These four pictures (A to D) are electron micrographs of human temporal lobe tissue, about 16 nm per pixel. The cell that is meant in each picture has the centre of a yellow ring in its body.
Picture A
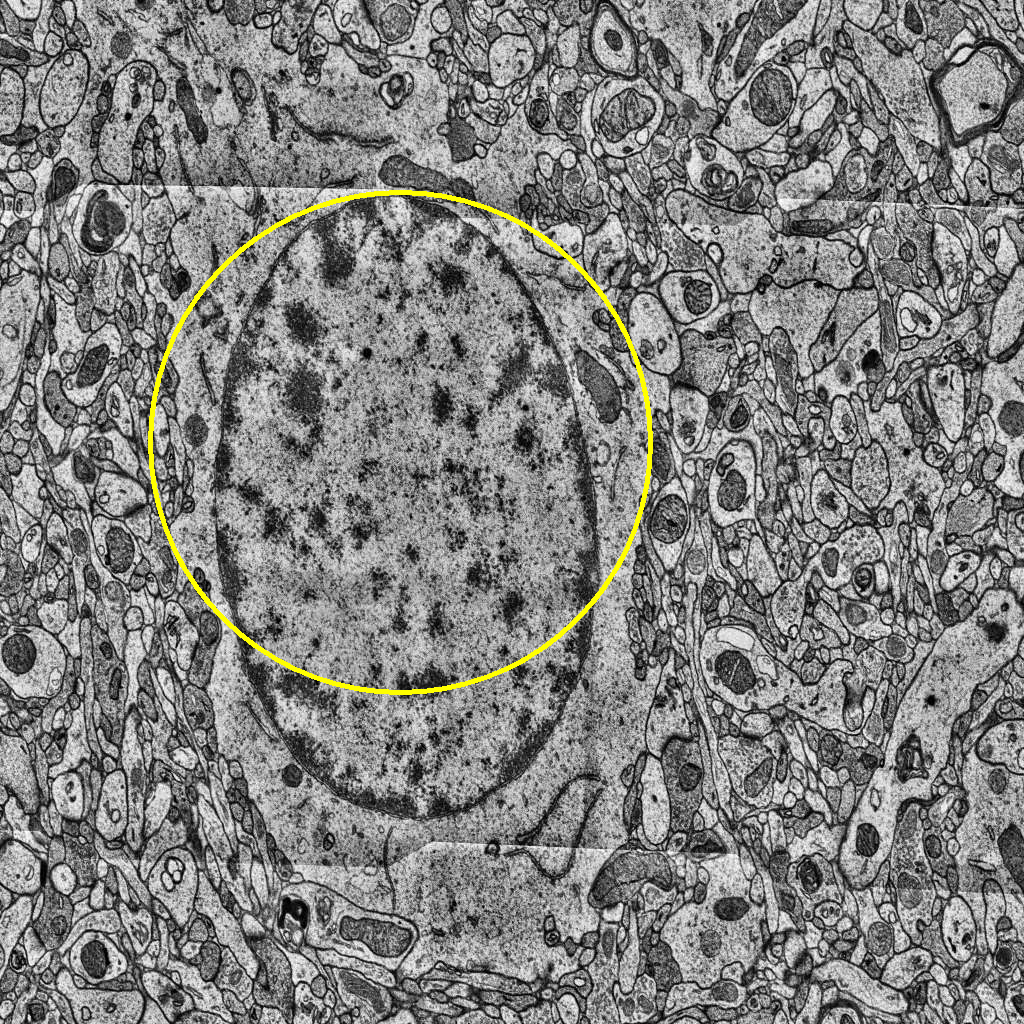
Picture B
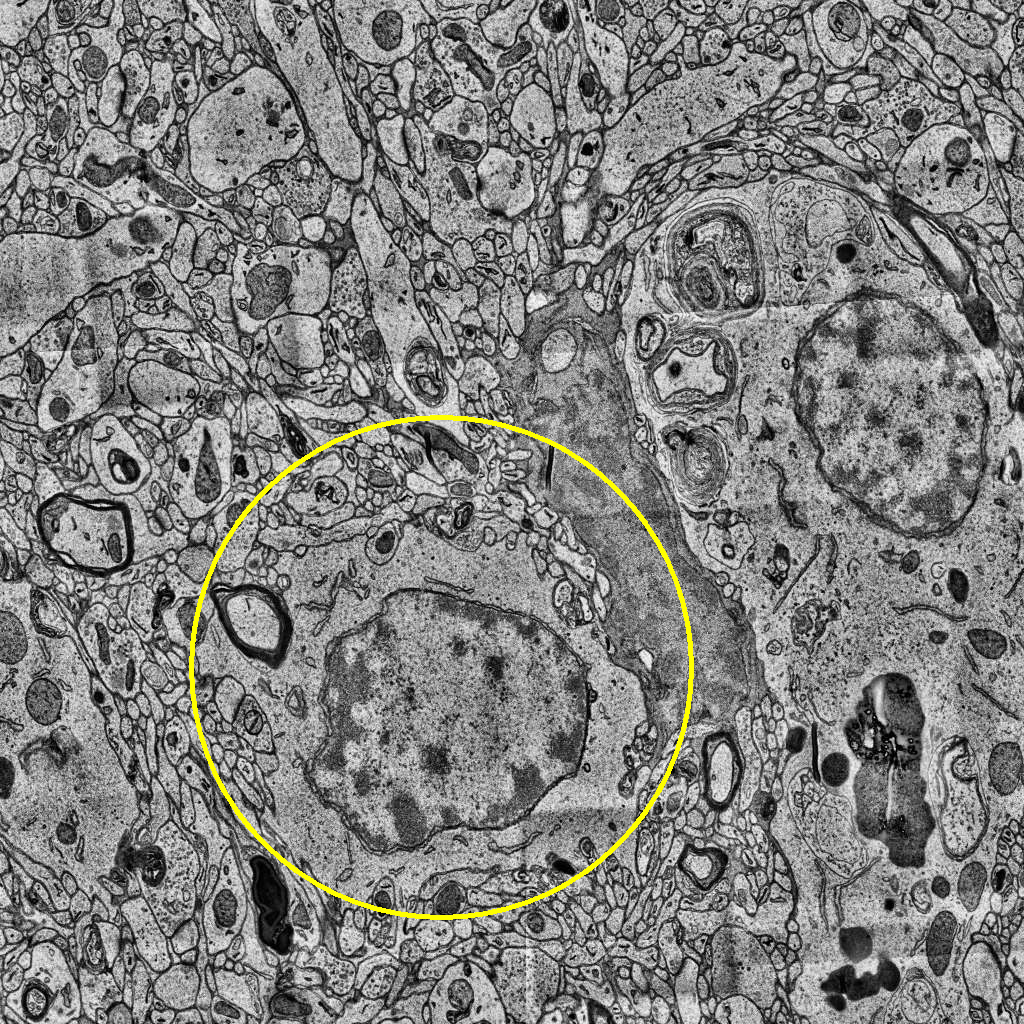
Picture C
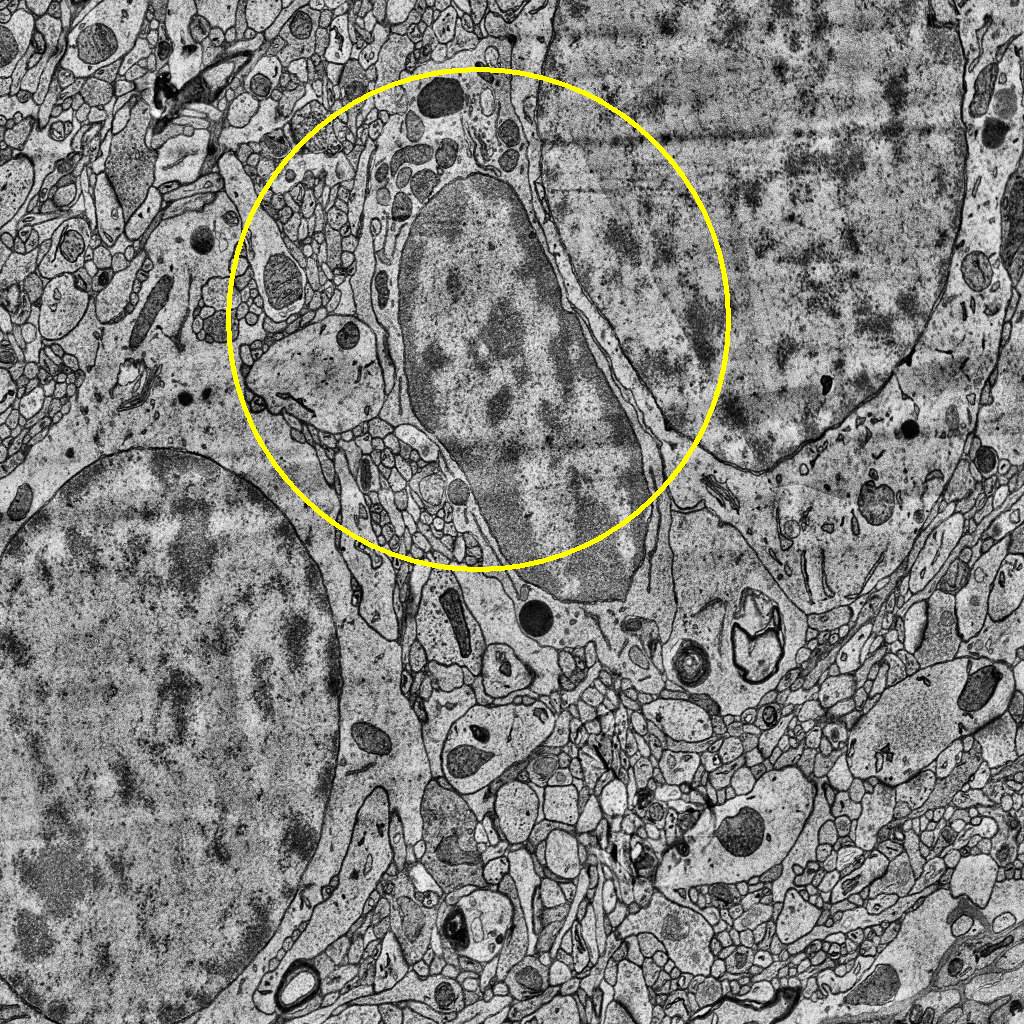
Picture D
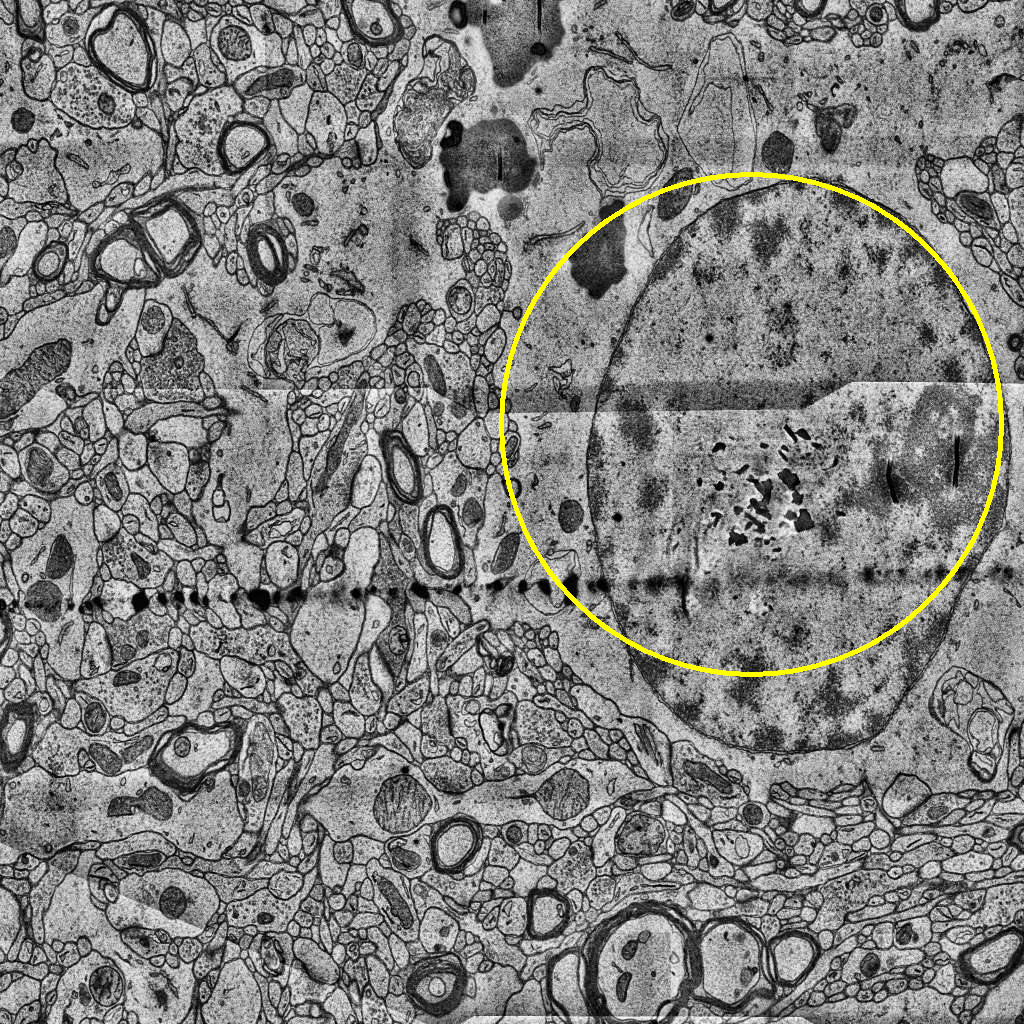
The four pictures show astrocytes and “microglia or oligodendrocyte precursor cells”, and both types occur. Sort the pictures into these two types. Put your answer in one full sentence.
Pictures A, B and D show astrocytes, and picture C shows a “microglia or oligodendrocyte precursor cell”.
